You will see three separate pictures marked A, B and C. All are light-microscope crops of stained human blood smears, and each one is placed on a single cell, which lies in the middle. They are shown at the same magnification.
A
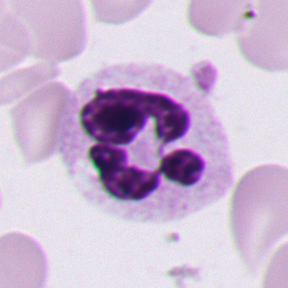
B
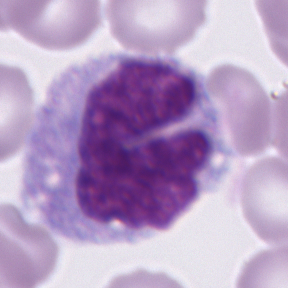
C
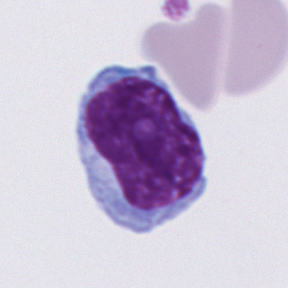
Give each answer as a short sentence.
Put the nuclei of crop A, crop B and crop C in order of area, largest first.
From the largest down, the order is B, C, A.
